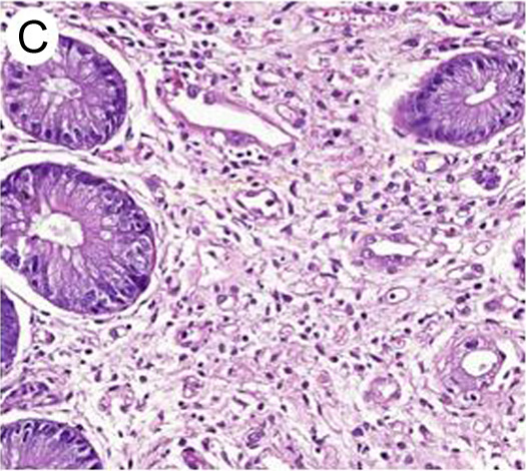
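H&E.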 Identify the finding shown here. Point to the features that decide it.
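Only a few intact crypts remain at the edges. A broad central area of stroma has no normal crypts.
Answer: contiguous crypt destruction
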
